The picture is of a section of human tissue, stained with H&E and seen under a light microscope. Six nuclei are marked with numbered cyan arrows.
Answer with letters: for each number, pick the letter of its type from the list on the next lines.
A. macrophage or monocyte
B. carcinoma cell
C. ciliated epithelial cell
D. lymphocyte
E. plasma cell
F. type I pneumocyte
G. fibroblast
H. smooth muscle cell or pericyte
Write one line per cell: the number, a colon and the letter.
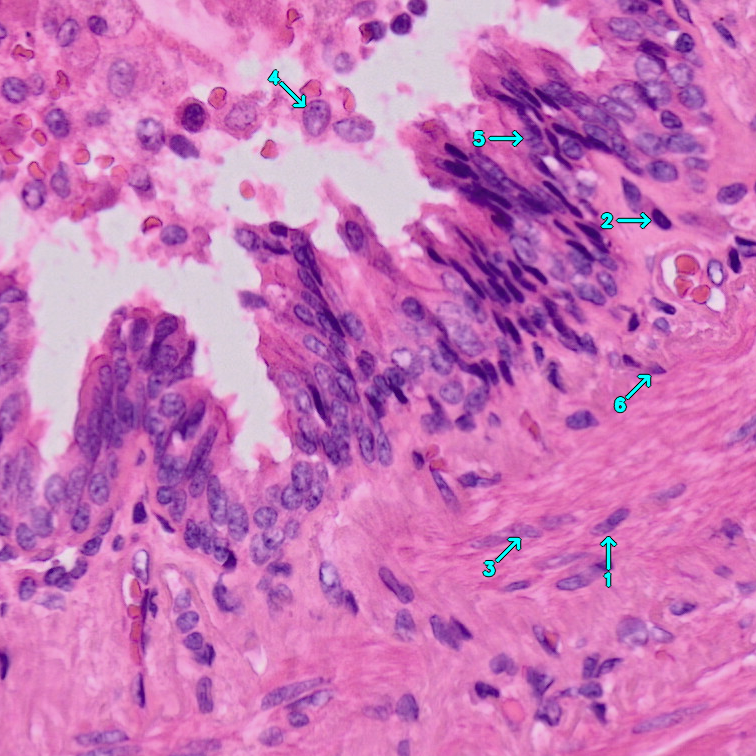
1: H
2: E
3: H
4: A
5: C
6: H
